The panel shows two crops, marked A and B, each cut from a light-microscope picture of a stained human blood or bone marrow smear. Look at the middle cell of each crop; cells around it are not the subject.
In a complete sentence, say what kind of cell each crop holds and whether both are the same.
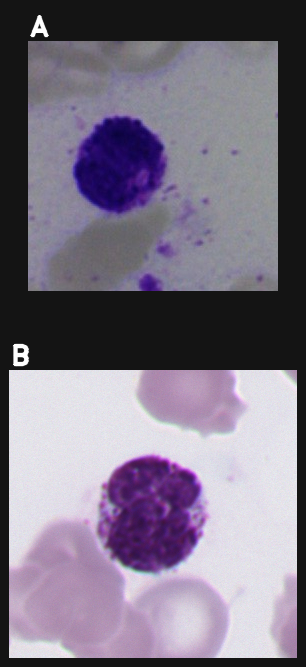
Yes, both crops are centred on cells that are basophils.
